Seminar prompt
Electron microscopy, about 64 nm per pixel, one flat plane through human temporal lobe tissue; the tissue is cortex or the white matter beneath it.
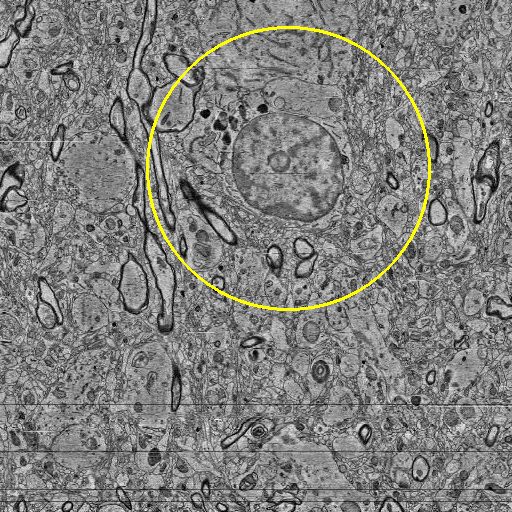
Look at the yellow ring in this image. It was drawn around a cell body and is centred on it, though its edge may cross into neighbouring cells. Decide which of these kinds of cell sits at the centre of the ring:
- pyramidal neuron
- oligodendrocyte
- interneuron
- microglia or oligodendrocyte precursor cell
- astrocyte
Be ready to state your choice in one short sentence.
The kind of cell at the ring's centre is a microglial cell or oligodendrocyte precursor cell.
